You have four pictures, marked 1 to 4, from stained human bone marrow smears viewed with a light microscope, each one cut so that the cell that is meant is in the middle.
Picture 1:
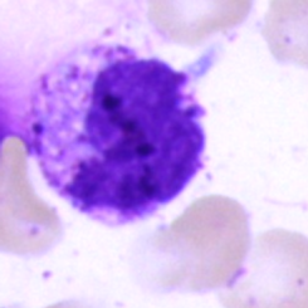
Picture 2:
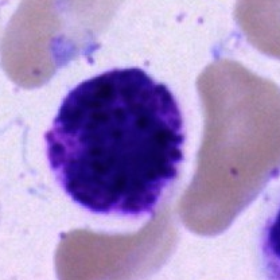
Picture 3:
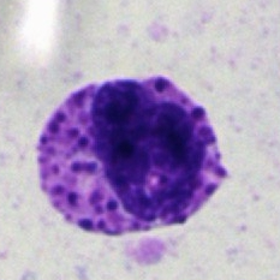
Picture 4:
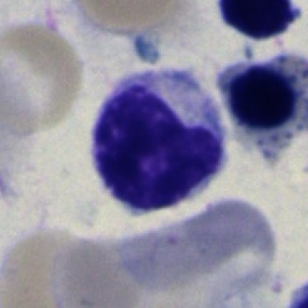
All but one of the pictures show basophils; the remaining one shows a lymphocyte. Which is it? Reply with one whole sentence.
The picture with the lymphocyte is 4.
